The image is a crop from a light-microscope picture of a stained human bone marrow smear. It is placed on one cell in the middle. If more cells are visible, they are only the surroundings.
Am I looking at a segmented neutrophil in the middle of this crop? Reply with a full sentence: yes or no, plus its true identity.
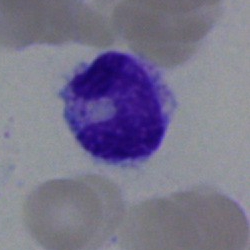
No, the middle cell is not a segmented neutrophil, it being a band neutrophil.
